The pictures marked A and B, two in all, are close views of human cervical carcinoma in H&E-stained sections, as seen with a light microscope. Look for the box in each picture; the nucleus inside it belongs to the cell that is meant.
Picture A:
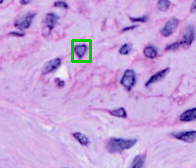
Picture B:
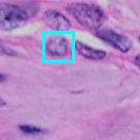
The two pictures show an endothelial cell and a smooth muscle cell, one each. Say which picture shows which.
A: smooth muscle cell
B: endothelial cell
